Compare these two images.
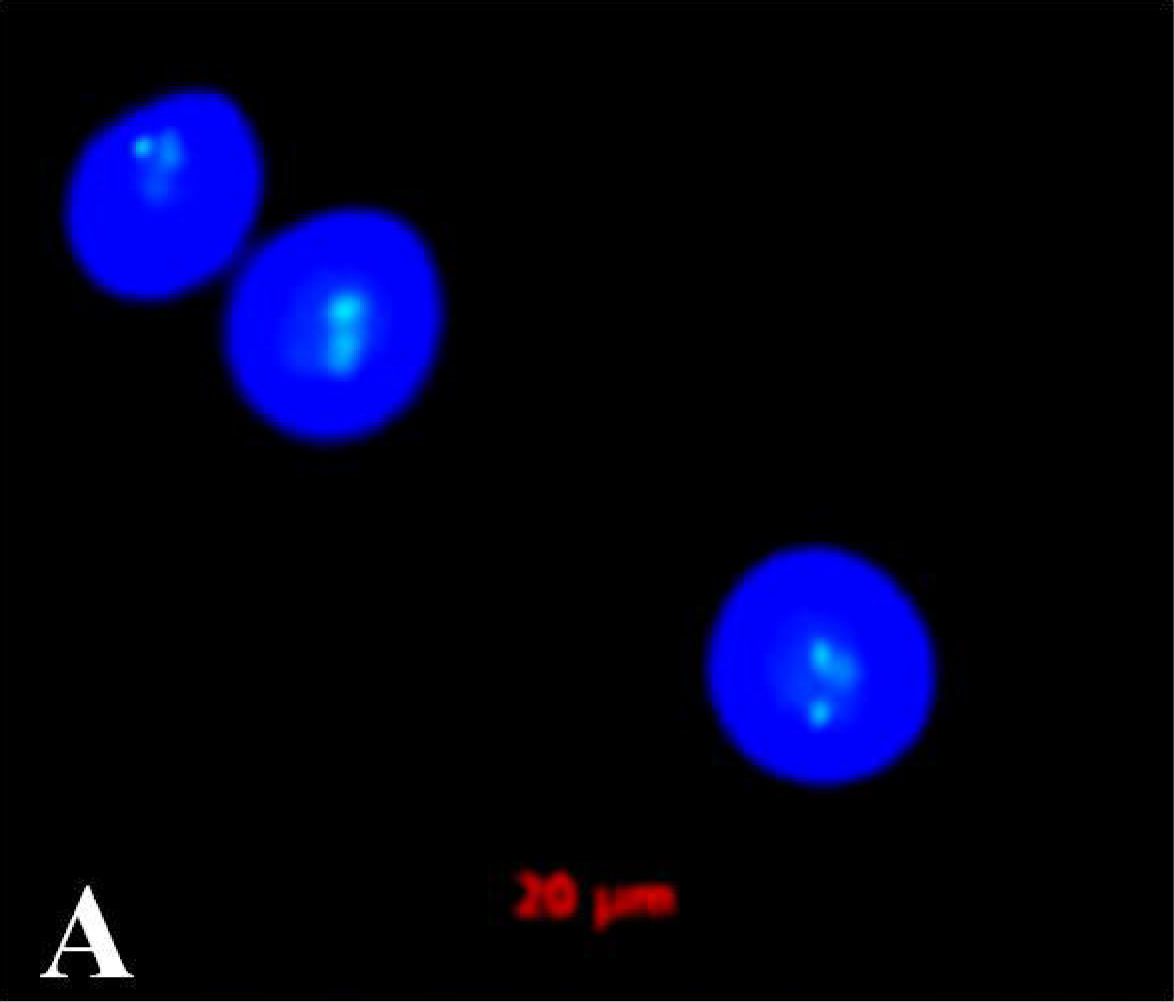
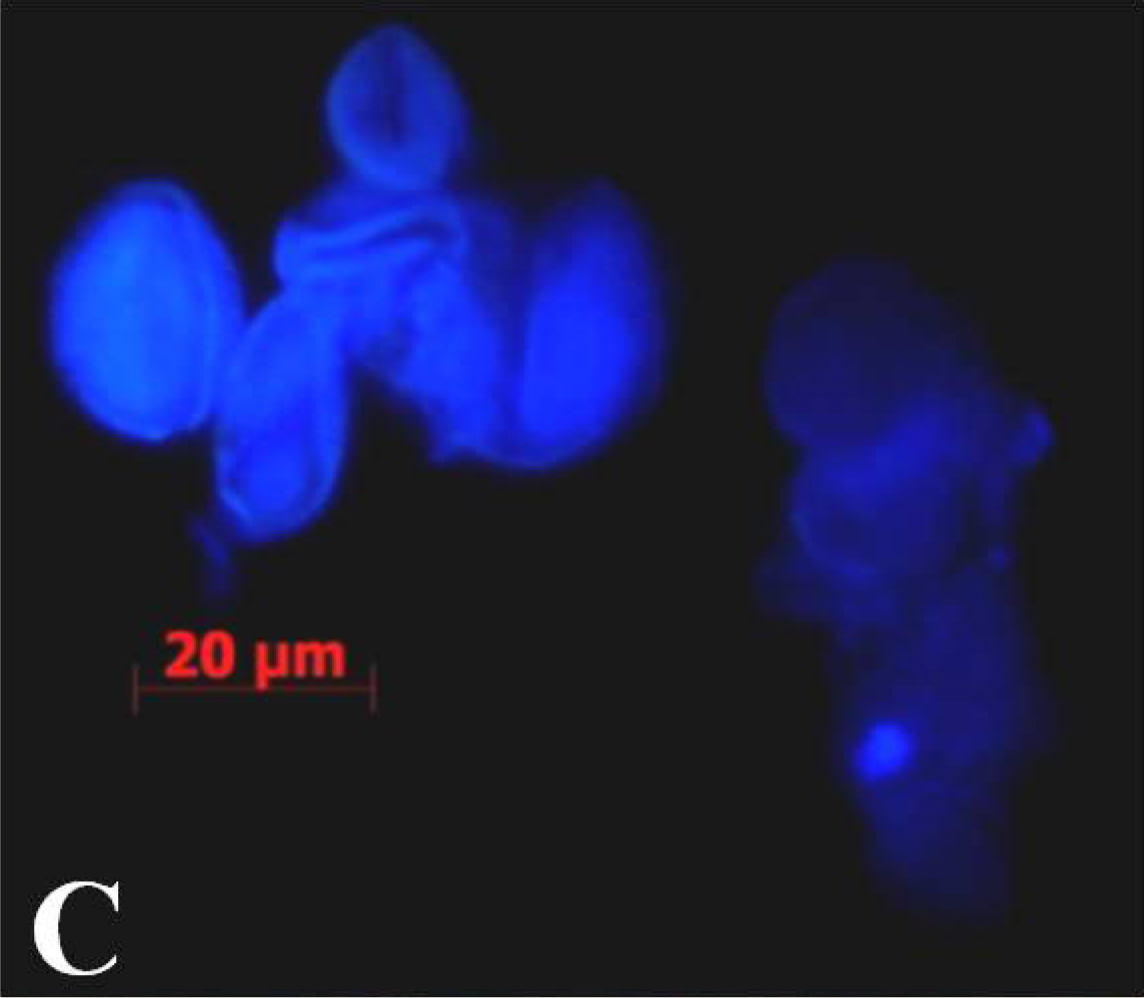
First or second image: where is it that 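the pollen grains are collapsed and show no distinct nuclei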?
the second image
